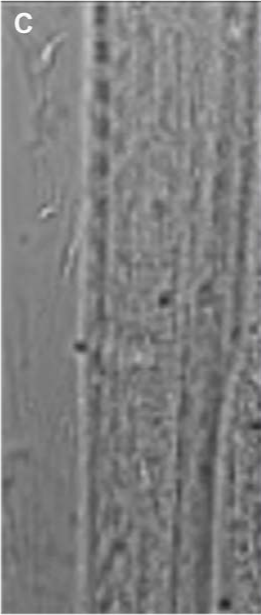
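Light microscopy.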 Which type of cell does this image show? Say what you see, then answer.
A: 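A long, broad, uniform fibre runs the full height of the panel. Faint transverse striations are visible along its edge.
Answer: differentiated myotubes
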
